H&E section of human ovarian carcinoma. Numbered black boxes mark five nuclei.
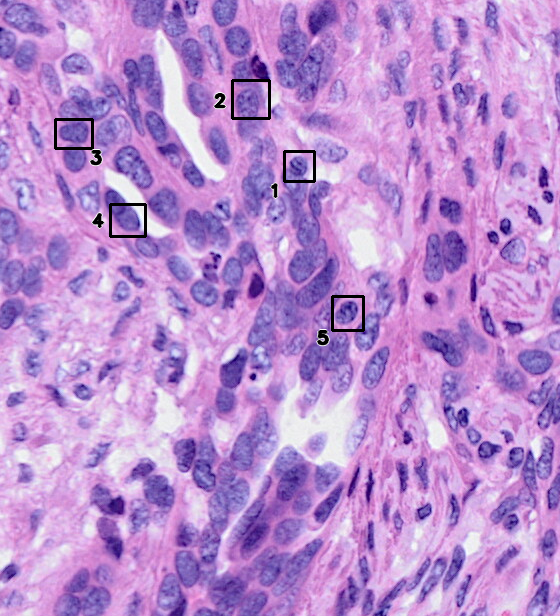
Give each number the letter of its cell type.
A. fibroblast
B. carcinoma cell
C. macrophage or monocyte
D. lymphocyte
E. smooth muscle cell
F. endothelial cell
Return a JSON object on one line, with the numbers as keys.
{"1": "D", "2": "B", "3": "B", "4": "B", "5": "D"}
